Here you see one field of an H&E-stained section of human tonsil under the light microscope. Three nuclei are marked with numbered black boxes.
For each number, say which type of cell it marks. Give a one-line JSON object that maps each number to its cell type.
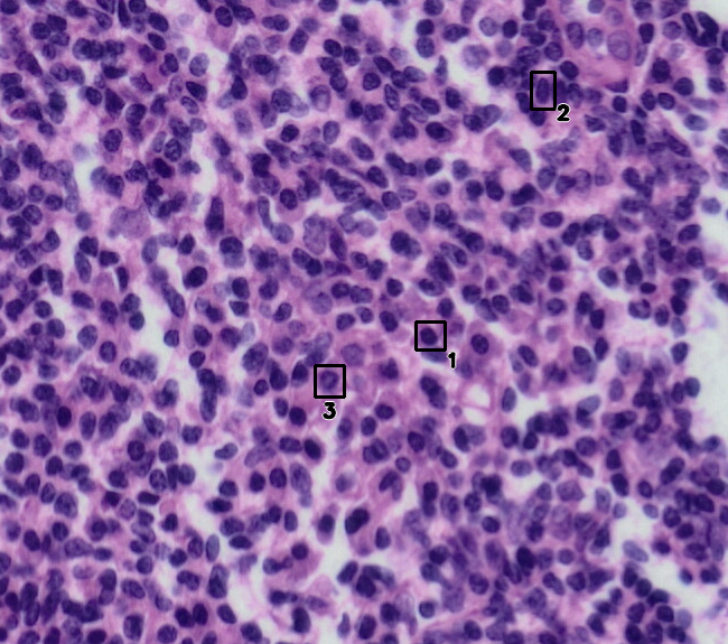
{"1": "plasma cell", "2": "small lymphocyte", "3": "plasma cell"}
